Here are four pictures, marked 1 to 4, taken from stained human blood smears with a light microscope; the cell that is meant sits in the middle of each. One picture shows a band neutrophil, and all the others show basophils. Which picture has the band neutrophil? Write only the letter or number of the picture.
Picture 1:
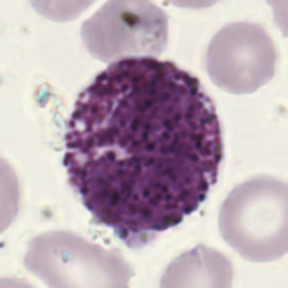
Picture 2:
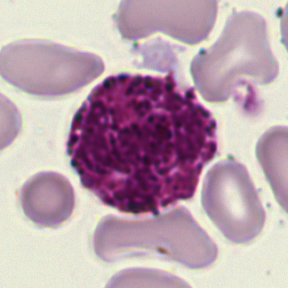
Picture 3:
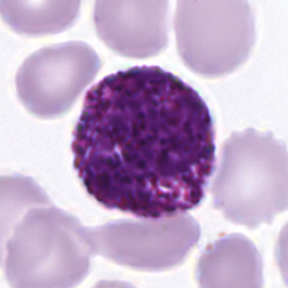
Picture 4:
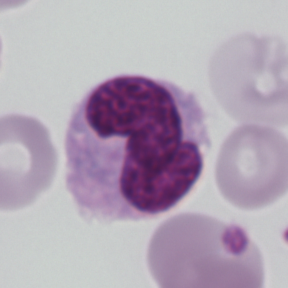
4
